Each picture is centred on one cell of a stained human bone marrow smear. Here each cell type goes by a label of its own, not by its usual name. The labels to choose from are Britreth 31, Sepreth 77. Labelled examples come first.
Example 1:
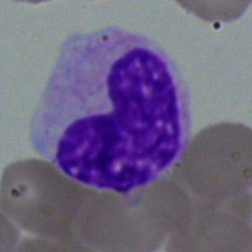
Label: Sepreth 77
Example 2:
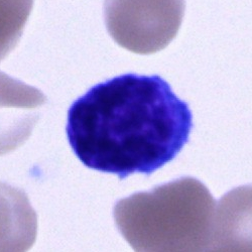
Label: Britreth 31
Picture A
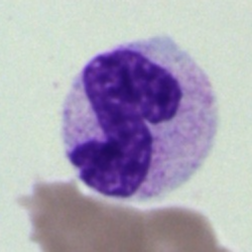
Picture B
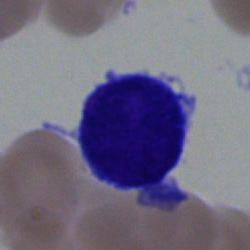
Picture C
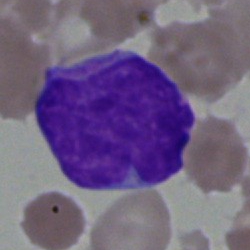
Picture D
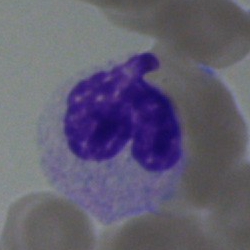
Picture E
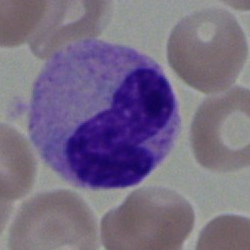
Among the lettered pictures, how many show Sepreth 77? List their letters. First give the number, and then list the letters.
Count: 3 (A, D, E)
